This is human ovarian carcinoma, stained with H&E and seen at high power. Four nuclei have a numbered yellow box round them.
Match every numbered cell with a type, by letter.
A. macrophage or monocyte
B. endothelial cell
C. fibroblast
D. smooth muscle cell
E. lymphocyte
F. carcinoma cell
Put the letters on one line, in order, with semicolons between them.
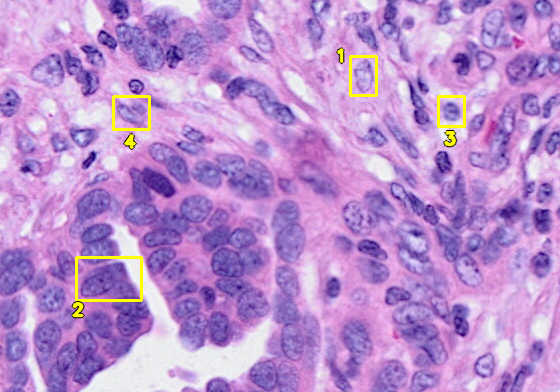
C; F; E; C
